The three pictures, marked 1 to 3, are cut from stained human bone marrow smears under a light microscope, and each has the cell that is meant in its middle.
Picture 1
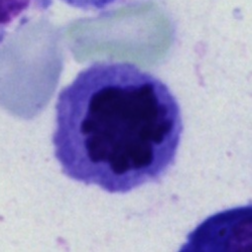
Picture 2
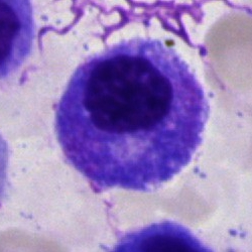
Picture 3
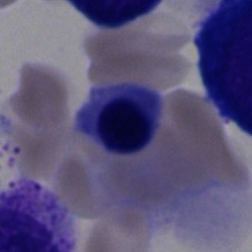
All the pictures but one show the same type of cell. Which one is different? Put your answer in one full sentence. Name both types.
The different one is picture 2; it shows a plasma cell, whereas all the others show erythroblasts.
